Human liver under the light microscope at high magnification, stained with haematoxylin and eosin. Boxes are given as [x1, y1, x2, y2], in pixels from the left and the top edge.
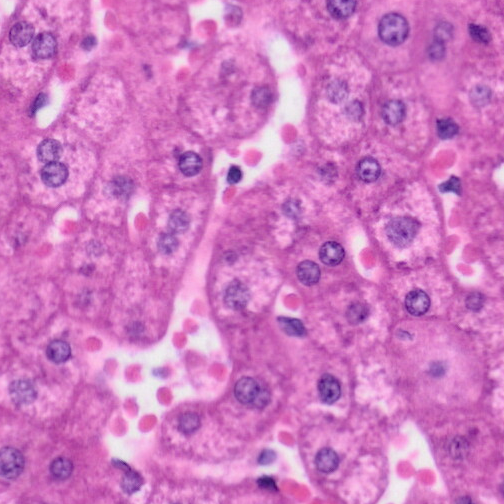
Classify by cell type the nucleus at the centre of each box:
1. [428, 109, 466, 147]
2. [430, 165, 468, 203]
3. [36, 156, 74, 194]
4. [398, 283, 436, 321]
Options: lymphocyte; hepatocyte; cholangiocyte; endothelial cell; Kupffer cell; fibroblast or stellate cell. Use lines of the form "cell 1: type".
cell 1: fibroblast or stellate cell
cell 2: endothelial cell
cell 3: hepatocyte
cell 4: hepatocyte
